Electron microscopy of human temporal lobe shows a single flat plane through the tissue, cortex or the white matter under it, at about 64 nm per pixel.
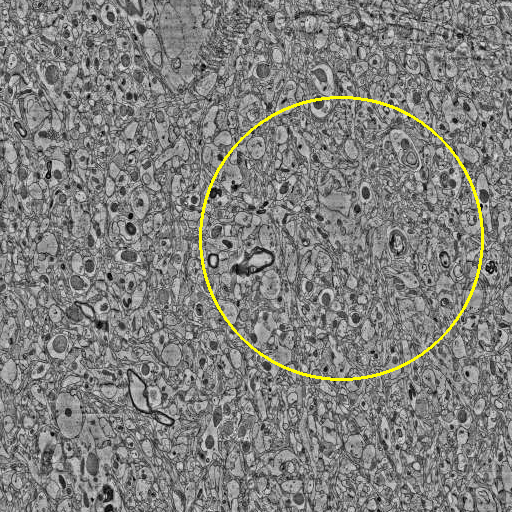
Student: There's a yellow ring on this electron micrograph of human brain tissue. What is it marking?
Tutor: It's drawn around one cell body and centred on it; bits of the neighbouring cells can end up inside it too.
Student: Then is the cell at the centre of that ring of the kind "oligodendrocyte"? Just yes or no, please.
no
